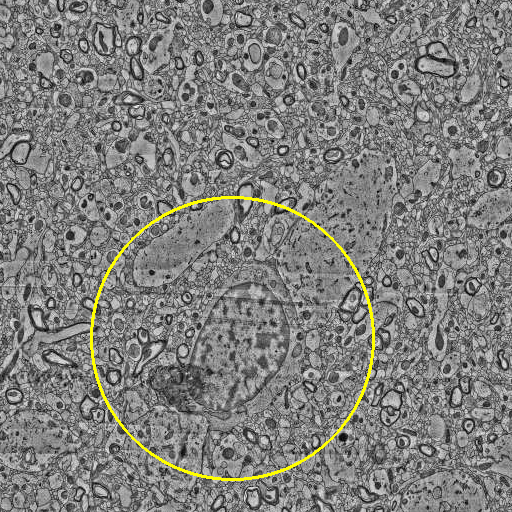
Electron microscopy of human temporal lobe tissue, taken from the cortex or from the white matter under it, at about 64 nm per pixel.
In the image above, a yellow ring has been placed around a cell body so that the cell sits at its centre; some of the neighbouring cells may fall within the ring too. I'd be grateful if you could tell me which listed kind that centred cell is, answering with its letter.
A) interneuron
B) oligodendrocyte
B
